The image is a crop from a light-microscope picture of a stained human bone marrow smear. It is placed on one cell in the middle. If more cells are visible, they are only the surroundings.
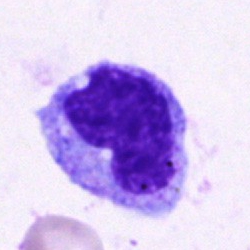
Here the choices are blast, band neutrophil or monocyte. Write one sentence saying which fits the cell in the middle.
The center cell of this crop is a monocyte.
